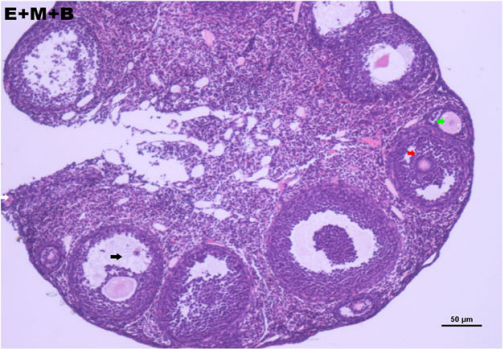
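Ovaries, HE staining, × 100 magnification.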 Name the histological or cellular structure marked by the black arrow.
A: antral follicles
